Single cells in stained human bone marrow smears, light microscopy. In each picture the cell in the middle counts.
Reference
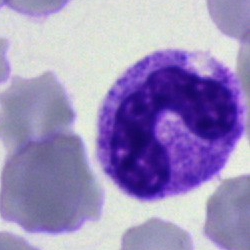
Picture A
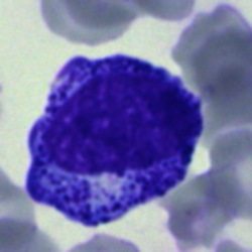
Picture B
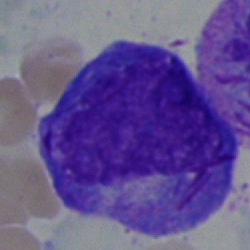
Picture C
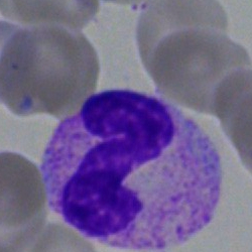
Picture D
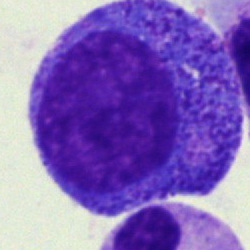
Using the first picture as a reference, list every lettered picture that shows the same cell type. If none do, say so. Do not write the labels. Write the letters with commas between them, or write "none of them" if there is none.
C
